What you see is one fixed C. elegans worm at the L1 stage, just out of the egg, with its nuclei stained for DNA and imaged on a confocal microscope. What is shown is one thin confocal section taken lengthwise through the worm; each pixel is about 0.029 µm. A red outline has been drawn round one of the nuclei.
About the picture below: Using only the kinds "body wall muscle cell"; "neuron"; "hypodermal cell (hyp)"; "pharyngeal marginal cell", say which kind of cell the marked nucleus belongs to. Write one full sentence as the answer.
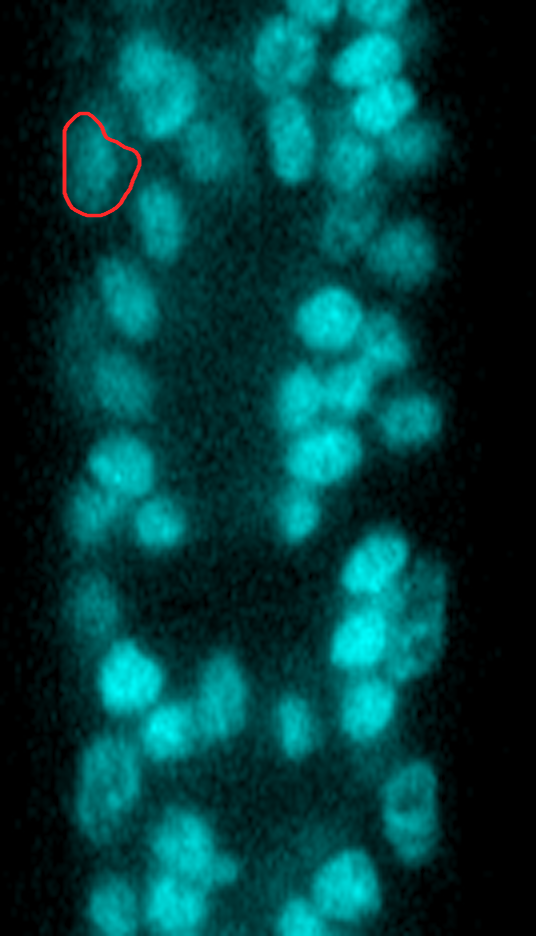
The cell with the marked nucleus is a body wall muscle cell.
